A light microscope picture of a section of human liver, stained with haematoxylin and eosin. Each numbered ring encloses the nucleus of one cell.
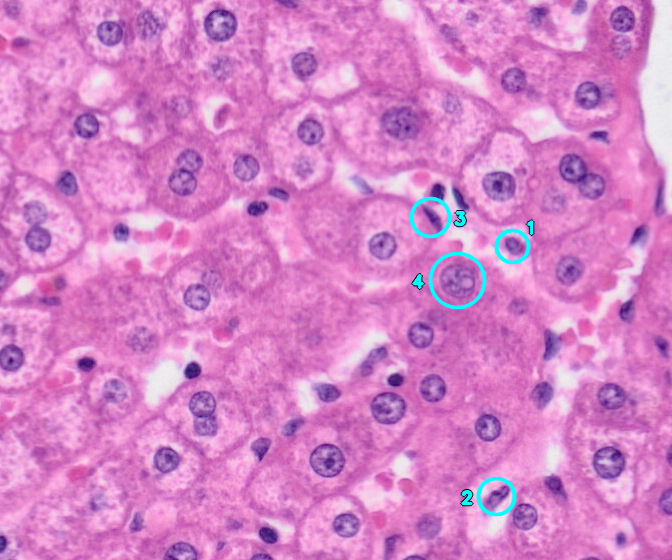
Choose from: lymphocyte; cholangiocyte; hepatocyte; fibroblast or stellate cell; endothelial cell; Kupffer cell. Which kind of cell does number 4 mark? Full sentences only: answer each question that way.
The cell that goes by number 4 is a hepatocyte.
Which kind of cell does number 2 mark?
Number 2 is placed on a Kupffer cell here.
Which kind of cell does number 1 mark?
The expected answer is that cell 1 is a Kupffer cell.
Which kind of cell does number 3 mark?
Cell 3 in the field is a fibroblast or stellate cell.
